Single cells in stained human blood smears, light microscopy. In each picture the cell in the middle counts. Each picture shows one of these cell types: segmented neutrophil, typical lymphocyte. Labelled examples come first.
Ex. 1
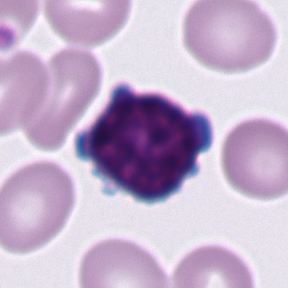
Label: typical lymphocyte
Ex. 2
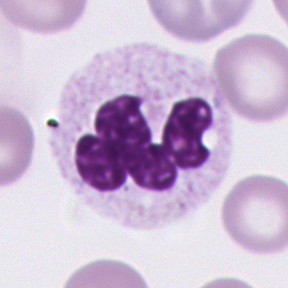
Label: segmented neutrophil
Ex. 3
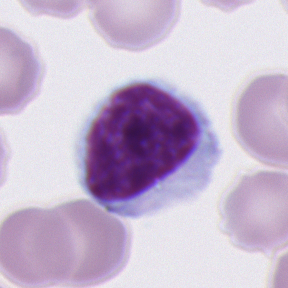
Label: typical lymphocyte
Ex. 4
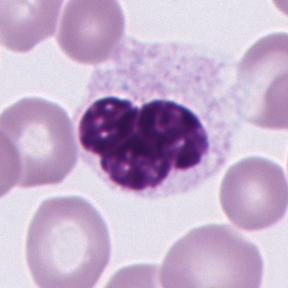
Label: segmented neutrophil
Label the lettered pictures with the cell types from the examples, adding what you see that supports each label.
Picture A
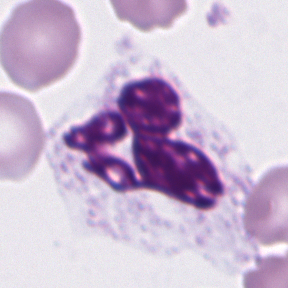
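Label: segmented neutrophil. The cytoplasm is plentiful and very pale, almost colourless.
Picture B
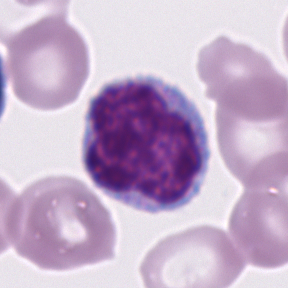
Label: typical lymphocyte. The cytoplasm forms a narrow rim of pale blue.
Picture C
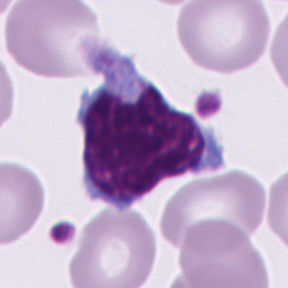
Label: typical lymphocyte. The nucleus fills most of the cell.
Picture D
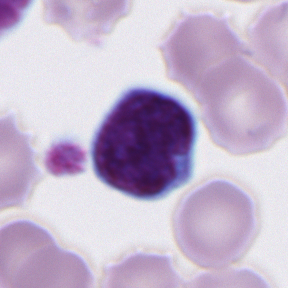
Label: typical lymphocyte. The nucleus fills almost the whole cell.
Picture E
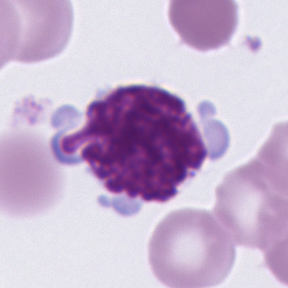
Label: typical lymphocyte. The cytoplasm is scant, with the nucleus filling almost the whole cell.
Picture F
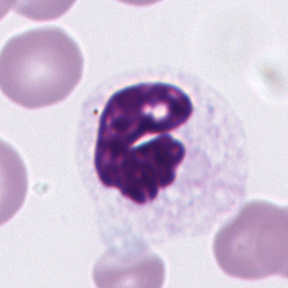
Label: segmented neutrophil. The nucleus is bent into a hook, with its upper part curving back over the lower part.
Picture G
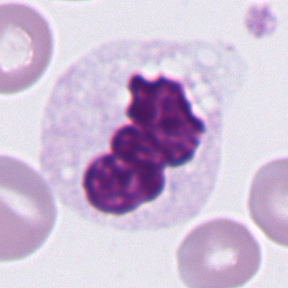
Label: segmented neutrophil. The cytoplasm is abundant and surrounds the nucleus on all sides.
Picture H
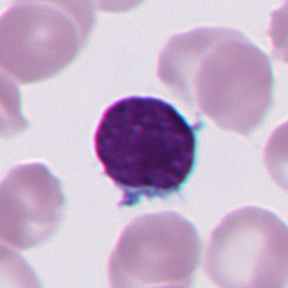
Label: typical lymphocyte. Cytoplasm is scant, showing only as a thin rim at the edge of the cell.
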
